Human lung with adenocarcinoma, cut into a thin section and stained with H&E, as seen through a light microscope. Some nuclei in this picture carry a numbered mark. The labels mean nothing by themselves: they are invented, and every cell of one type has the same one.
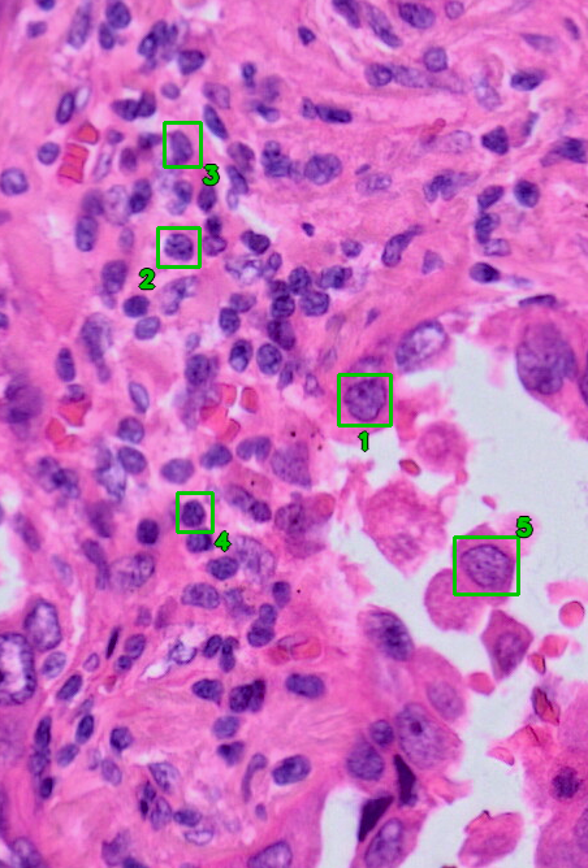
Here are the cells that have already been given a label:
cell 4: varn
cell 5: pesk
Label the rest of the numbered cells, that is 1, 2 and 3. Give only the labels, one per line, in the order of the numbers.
pesk
varn
varn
